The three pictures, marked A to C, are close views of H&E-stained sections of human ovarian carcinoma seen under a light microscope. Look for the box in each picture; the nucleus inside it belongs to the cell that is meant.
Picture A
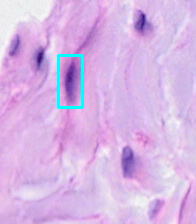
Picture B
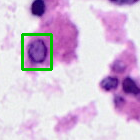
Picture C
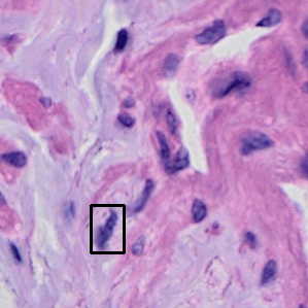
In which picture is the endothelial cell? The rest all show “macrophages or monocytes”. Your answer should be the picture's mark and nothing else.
A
